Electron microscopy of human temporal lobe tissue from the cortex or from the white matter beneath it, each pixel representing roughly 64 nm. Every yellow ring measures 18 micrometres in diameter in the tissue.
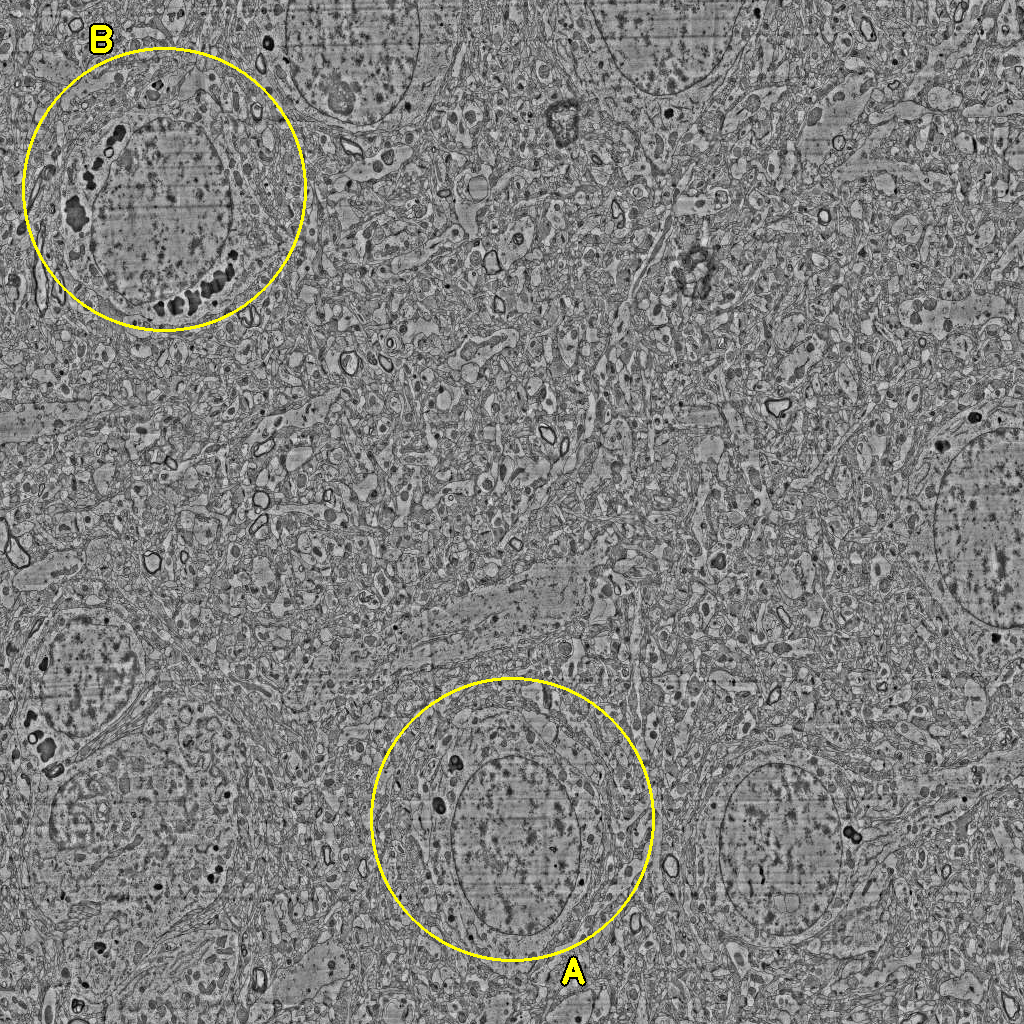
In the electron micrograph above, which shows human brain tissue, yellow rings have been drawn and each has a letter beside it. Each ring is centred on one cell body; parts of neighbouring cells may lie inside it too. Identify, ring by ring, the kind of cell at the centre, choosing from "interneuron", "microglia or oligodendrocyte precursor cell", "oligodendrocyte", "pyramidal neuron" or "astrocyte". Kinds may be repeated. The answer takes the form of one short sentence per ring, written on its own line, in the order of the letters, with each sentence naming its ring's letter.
Inside ring A, at its centre, is a pyramidal neuron.
Inside ring B, at its centre, is an interneuron.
